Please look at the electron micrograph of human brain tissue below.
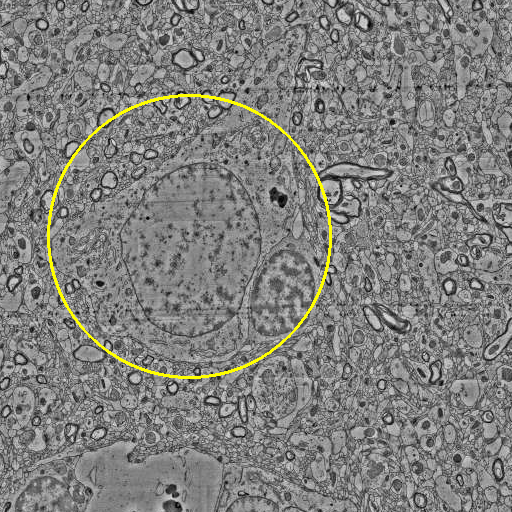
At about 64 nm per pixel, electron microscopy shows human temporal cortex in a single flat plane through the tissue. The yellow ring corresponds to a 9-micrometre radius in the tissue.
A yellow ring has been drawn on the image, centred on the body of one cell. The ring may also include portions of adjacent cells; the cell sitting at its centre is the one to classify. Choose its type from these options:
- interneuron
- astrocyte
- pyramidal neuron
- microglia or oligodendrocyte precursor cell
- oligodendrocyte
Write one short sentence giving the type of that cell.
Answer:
The cell in the middle of the ring is a pyramidal neuron.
